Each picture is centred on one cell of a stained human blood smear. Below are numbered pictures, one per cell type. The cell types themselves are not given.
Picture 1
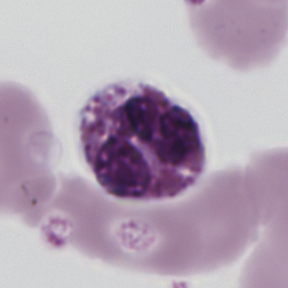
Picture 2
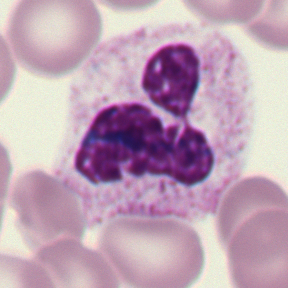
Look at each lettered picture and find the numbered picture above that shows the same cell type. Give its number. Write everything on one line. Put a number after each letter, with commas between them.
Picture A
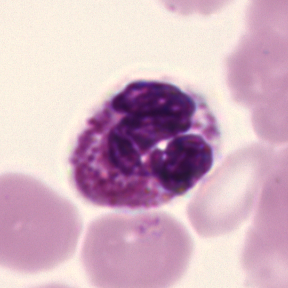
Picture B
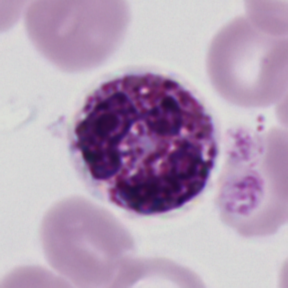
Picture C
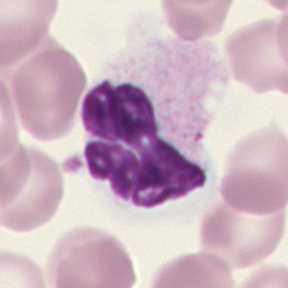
A 1, B 1, C 2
